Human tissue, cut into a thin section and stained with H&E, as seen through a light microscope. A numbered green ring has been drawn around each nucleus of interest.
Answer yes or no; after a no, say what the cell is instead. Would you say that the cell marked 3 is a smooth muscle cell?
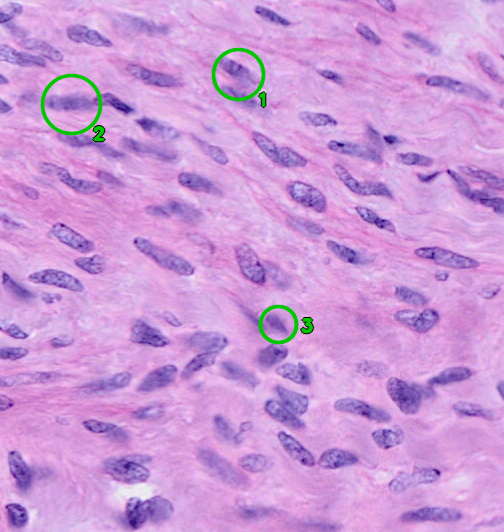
No, it is a fibroblast.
